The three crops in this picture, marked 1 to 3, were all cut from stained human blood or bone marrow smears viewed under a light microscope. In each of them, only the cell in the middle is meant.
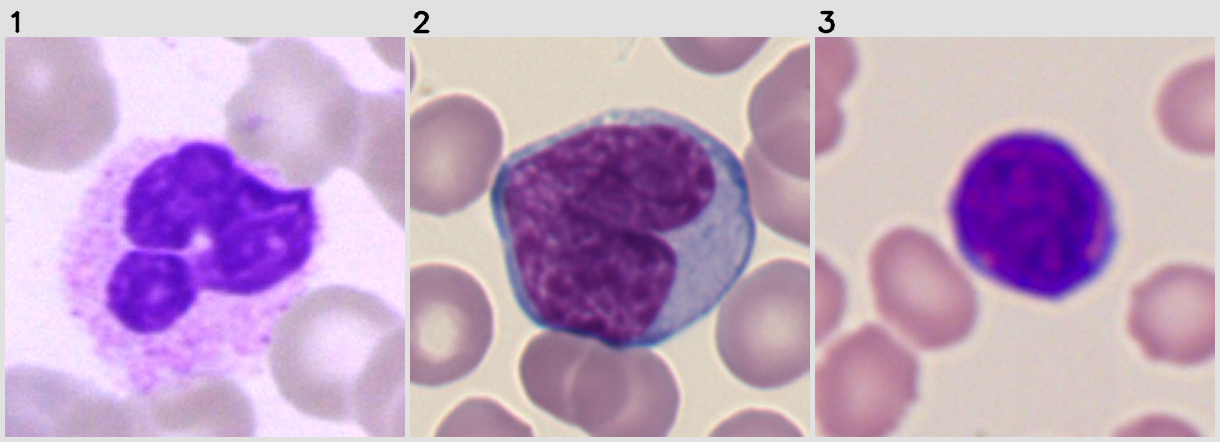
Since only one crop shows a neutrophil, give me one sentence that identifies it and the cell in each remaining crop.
Crop 1 is recognised as a neutrophil, whereas crop 2 is a blast and crop 3 is a lymphocyte.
